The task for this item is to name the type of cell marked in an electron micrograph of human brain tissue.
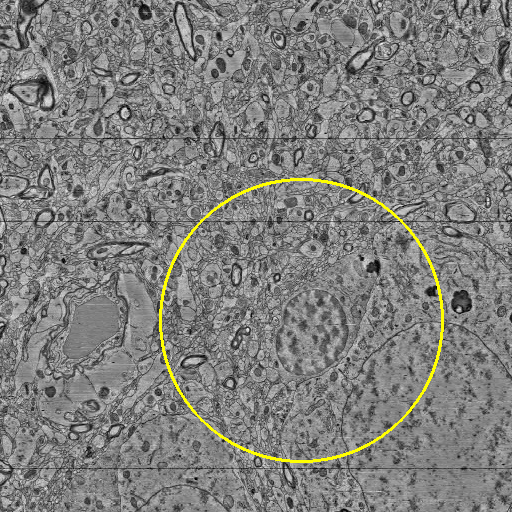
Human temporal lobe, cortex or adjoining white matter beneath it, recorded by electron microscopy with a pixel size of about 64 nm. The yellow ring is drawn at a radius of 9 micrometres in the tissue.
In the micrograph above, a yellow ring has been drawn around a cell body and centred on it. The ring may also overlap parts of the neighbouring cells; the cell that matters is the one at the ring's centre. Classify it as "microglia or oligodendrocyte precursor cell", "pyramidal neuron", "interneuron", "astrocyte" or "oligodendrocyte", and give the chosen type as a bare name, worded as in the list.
oligodendrocyte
